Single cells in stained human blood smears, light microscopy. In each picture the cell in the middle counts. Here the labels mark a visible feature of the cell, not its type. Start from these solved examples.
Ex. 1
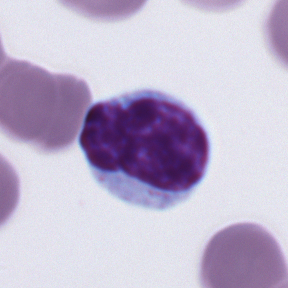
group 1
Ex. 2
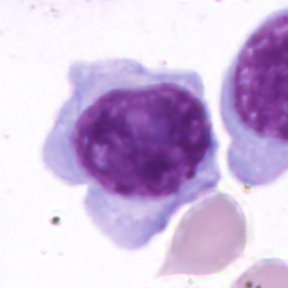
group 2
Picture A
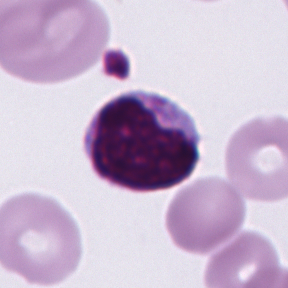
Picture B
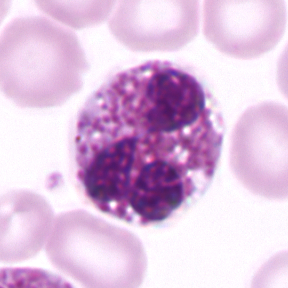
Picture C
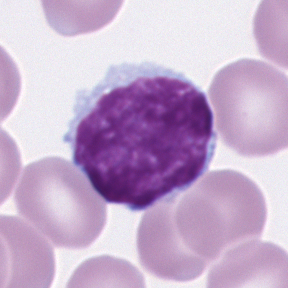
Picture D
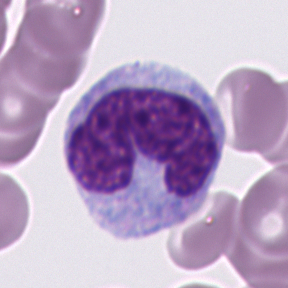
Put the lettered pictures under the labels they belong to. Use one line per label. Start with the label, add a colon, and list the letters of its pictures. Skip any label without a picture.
group 1: A, B, D
group 2: C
